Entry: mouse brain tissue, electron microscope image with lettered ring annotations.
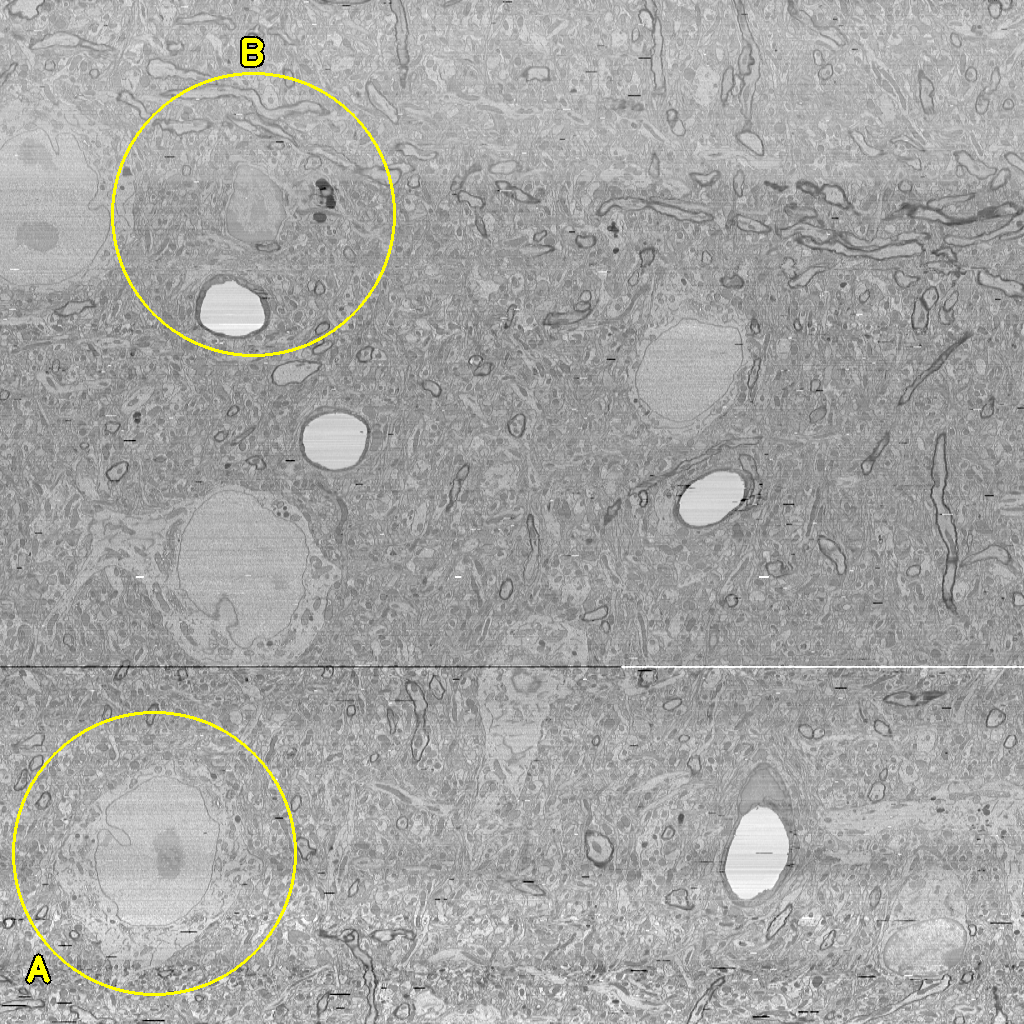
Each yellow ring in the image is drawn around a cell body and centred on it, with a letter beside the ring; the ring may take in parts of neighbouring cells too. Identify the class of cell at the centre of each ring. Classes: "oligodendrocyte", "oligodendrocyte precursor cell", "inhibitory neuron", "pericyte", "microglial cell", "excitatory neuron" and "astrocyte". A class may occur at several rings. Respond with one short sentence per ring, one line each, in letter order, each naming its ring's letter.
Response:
Ring A holds an excitatory neuron at its centre.
Ring B holds a microglial cell at its centre.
